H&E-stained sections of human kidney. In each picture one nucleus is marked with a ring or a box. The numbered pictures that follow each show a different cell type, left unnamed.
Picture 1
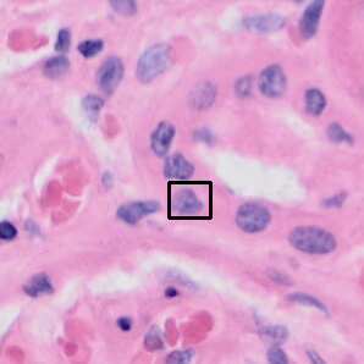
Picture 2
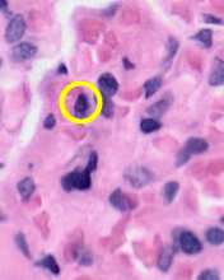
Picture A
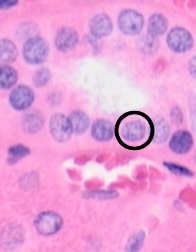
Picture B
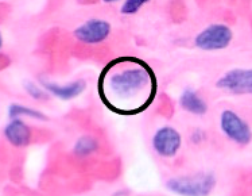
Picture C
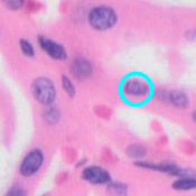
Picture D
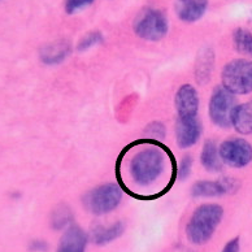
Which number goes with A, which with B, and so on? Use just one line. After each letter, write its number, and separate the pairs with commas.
A 1, B 2, C 1, D 1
